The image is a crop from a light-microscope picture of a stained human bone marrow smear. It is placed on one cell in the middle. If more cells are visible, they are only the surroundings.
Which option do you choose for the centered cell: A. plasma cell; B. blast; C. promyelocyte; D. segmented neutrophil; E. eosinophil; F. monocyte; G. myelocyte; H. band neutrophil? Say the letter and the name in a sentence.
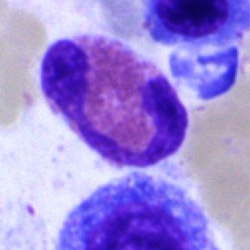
Option E is the correct option, with the middle cell being an eosinophil.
